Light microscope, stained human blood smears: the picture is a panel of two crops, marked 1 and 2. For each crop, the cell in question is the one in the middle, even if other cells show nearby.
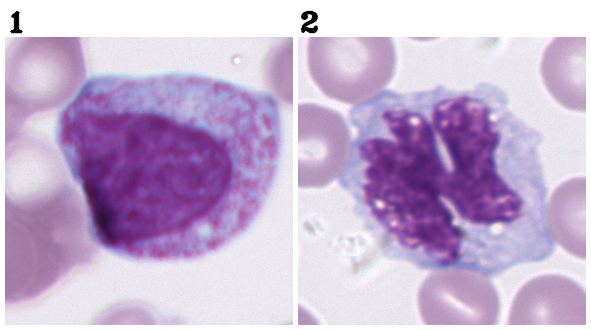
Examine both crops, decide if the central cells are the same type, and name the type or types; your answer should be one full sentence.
No, crop 1 presents a myelocyte, whereas crop 2 presents a monocyte.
